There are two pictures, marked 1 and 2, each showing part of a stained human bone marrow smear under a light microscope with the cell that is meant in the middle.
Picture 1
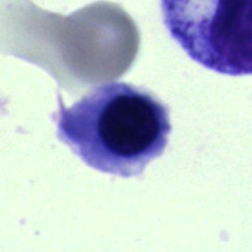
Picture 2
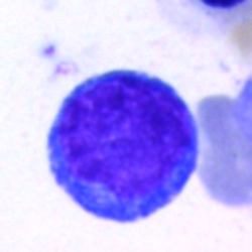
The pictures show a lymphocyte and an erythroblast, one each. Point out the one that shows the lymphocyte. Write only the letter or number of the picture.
2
